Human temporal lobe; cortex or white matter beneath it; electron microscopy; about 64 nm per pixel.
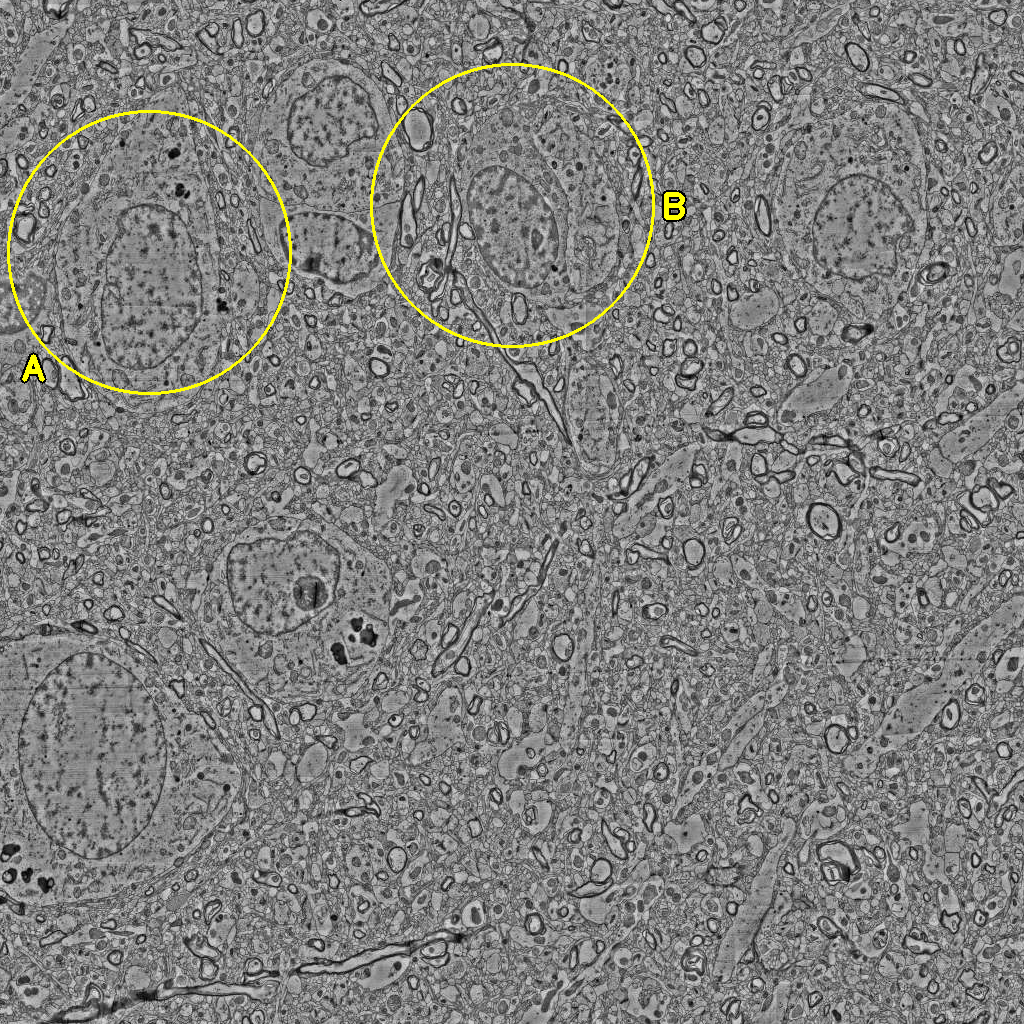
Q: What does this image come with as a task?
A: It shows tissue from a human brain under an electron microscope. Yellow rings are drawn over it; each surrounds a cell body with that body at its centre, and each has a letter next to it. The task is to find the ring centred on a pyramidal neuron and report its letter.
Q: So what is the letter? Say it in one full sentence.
It is A, the letter of the ring centred on the cell asked for in the picture.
